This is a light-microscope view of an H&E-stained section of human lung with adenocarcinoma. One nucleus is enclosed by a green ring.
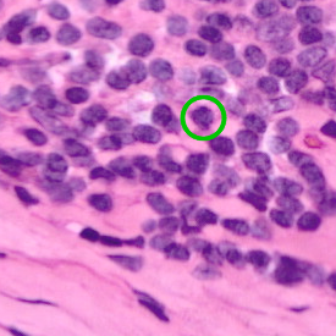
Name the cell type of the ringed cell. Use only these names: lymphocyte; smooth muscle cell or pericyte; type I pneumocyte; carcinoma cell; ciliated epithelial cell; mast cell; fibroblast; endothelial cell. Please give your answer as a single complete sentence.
The identity of the ringed cell: it is a lymphocyte.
